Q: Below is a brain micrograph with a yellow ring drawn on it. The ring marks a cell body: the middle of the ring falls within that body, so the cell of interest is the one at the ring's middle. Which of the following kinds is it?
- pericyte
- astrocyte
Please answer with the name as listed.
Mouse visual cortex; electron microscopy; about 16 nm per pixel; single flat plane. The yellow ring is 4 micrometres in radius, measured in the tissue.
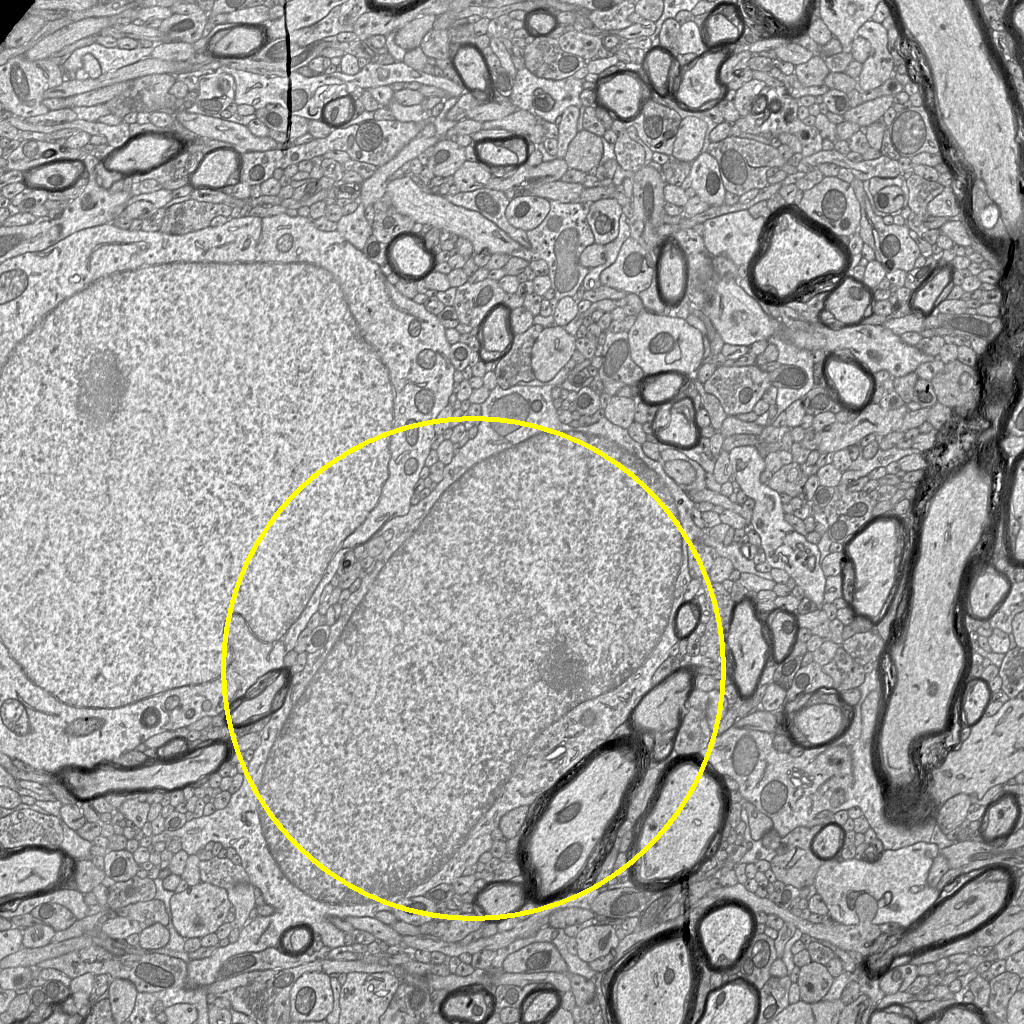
astrocyte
